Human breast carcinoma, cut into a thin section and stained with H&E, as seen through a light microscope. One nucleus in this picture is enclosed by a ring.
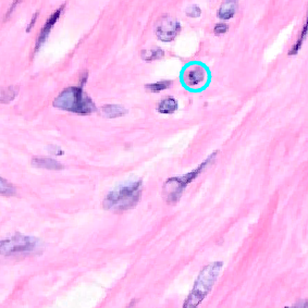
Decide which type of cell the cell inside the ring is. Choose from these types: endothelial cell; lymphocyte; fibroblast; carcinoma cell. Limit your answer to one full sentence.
For cell typing purposes, the cell inside the ring is an endothelial cell.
